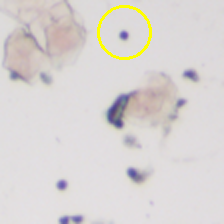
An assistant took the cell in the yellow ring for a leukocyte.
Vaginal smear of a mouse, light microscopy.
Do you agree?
I agree, it is a leukocyte.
